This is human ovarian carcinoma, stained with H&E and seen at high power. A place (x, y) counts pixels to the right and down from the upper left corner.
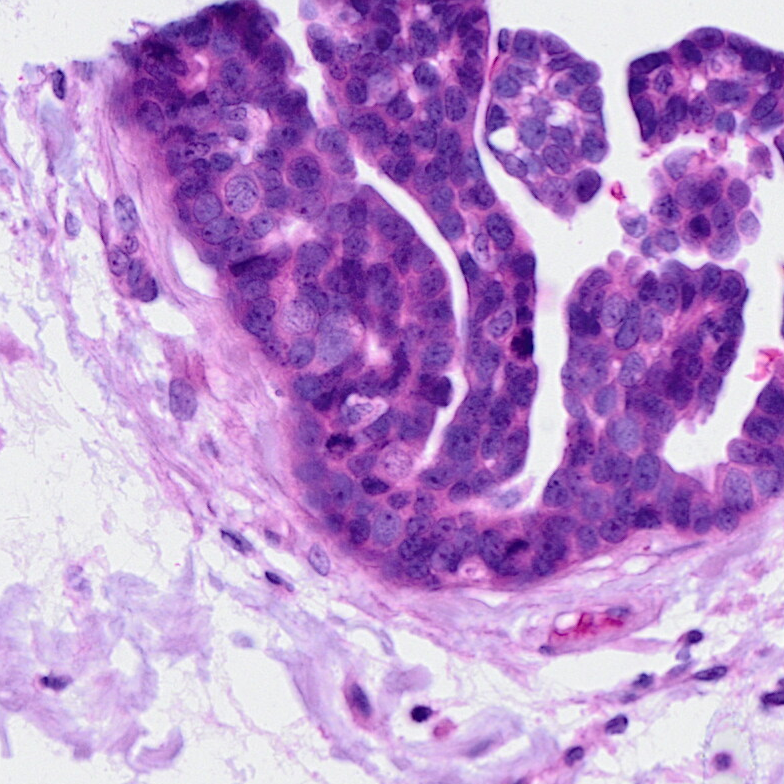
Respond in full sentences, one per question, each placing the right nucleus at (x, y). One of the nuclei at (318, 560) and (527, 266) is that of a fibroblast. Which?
Located at (318, 560), this nucleus is the one belonging to a fibroblast.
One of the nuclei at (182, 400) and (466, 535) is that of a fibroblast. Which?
The nucleus at (182, 400) is attributed to a fibroblast, unlike the other nucleus.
